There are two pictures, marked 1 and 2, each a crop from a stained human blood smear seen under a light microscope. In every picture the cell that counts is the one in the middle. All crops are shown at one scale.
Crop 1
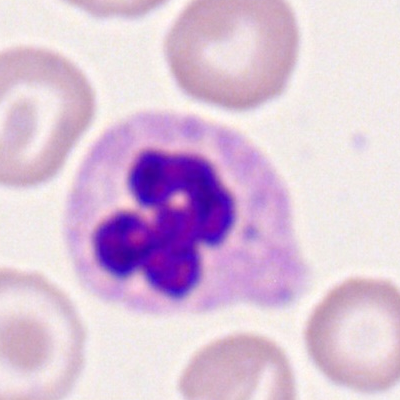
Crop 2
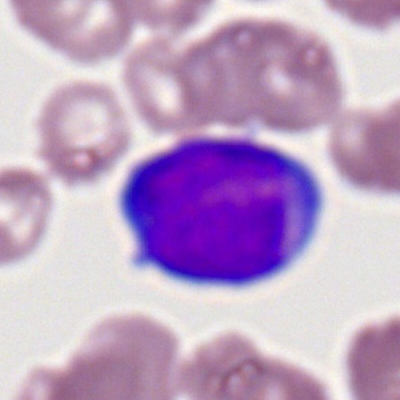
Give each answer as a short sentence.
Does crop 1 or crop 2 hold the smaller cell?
Crop 2 holds the smaller cell, since the cell in crop 1 covers about 1.5 times as much area.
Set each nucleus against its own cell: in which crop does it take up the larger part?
In crop 2 the nucleus takes up the larger part of its cell.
